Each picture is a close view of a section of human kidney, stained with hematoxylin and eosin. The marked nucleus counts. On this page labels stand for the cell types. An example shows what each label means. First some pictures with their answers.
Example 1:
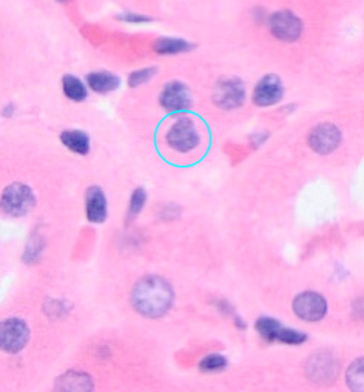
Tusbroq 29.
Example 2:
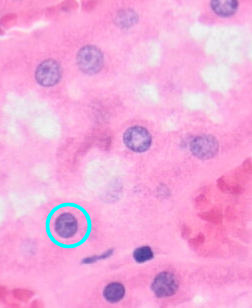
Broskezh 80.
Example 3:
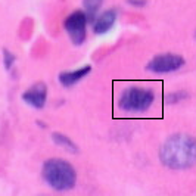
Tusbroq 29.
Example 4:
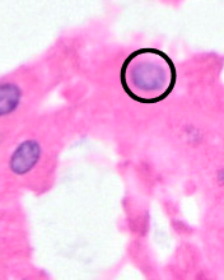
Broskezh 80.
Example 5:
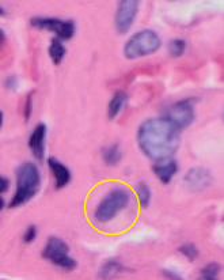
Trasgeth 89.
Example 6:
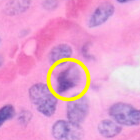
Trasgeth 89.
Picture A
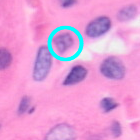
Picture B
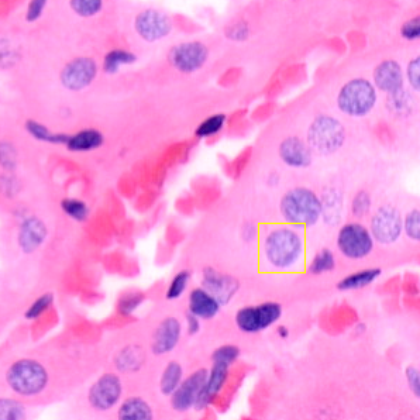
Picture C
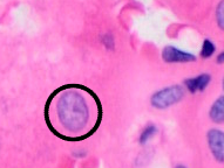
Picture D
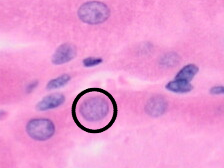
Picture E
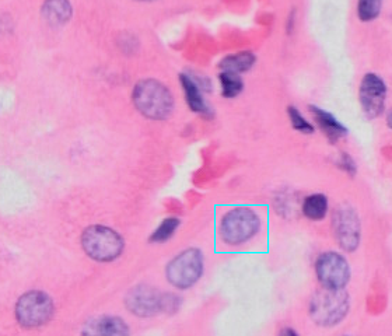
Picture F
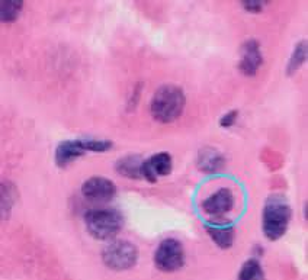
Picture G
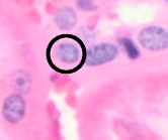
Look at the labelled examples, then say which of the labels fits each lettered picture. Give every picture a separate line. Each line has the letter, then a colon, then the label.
A: Trasgeth 89.
B: Trasgeth 89.
C: Broskezh 80.
D: Broskezh 80.
E: Trasgeth 89.
F: Trasgeth 89.
G: Trasgeth 89.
